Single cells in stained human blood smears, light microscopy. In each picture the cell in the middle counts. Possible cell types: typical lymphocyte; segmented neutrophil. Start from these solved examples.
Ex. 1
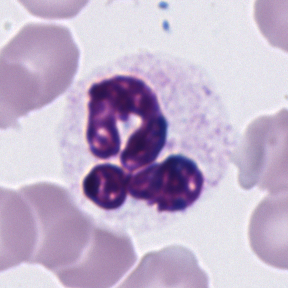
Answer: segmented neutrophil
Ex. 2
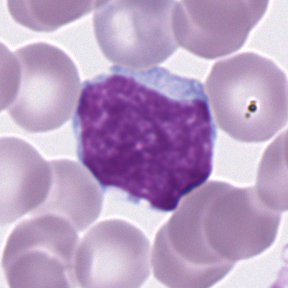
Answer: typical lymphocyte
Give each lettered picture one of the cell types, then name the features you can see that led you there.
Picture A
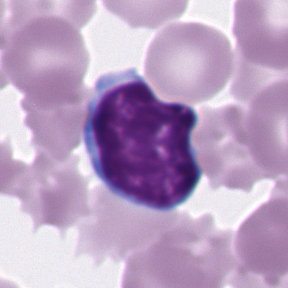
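typical lymphocyte. The cytoplasm is a scant pale blue rim around the nucleus.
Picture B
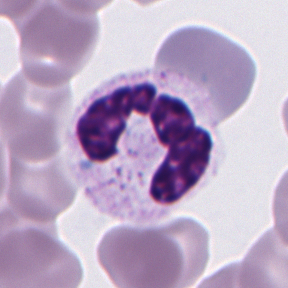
segmented neutrophil. The cytoplasm is plentiful and pale pinkish-lilac.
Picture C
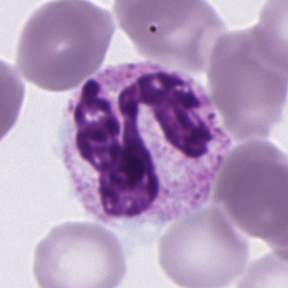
segmented neutrophil. The cytoplasm is abundant and pale pink-lilac.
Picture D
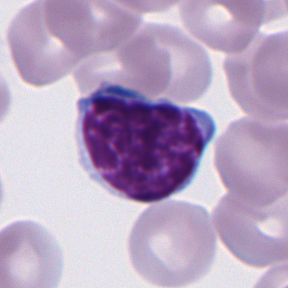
typical lymphocyte. The cytoplasm forms only a thin rim around the nucleus.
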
